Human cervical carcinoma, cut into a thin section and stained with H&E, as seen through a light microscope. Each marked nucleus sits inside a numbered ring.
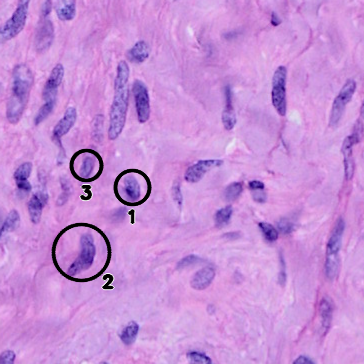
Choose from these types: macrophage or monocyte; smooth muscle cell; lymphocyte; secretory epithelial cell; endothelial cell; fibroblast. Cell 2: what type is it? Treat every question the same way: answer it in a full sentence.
The one numbered 2 among the marked cells is a fibroblast.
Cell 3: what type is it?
Cell 3 should be recorded as a smooth muscle cell.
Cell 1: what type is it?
The nucleus labeled 1 belongs to a fibroblast.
